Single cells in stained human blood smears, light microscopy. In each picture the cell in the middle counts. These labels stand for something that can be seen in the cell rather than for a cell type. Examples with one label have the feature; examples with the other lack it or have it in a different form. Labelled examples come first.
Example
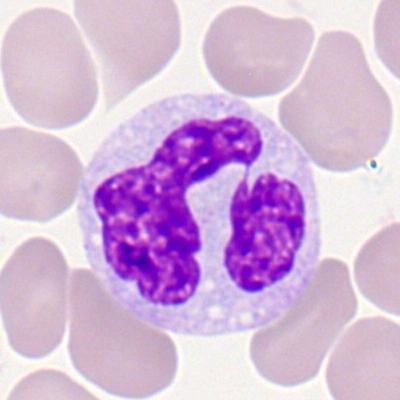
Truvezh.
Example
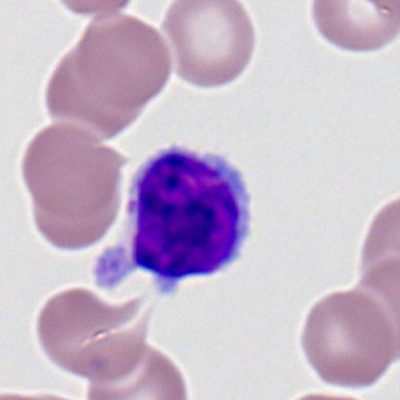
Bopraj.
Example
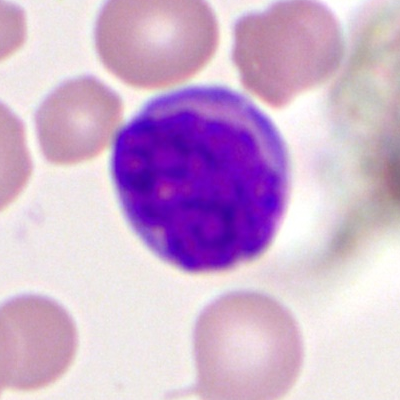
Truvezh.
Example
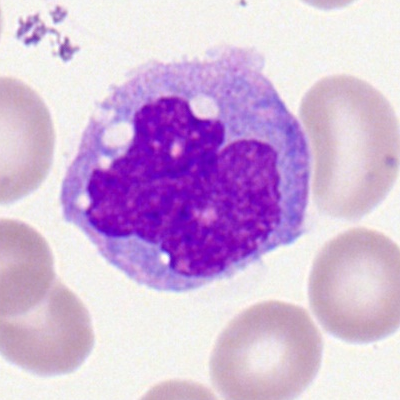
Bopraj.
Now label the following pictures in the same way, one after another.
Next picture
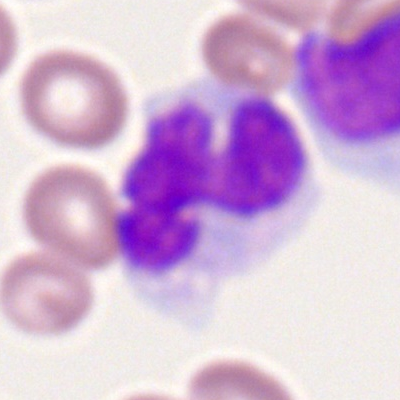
Bopraj.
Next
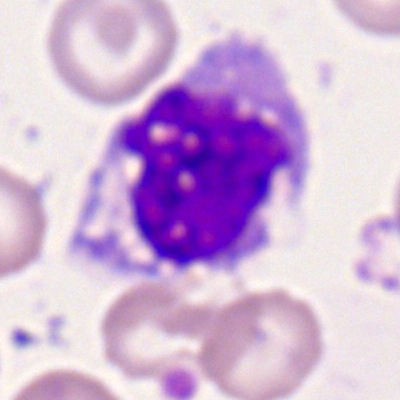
Bopraj.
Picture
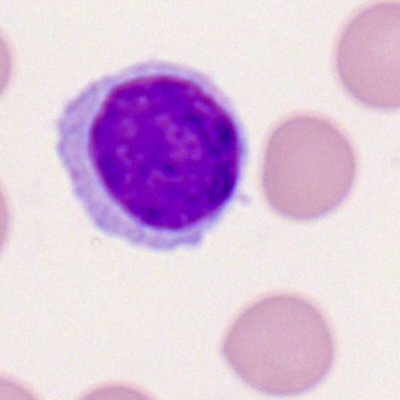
Bopraj.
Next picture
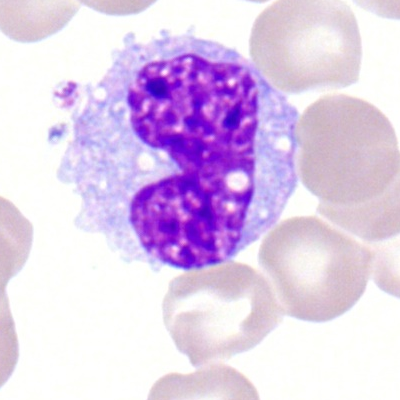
Bopraj.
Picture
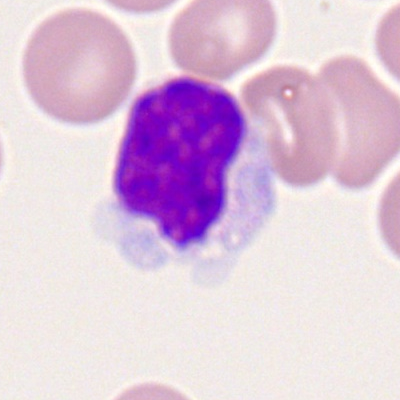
Bopraj.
